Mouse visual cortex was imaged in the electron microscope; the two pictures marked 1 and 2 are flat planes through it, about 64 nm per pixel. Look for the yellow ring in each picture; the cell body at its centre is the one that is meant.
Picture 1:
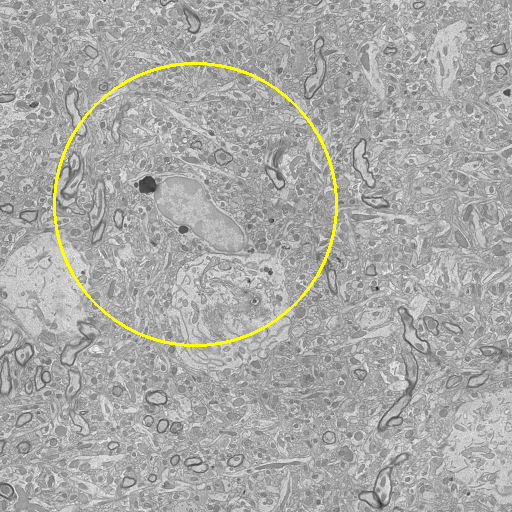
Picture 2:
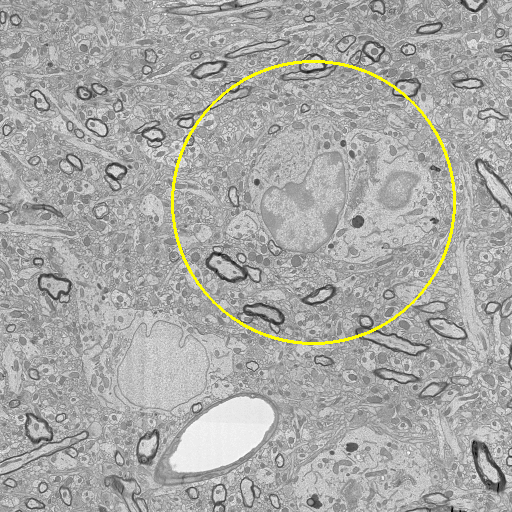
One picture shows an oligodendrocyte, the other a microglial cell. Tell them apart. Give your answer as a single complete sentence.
Picture 1 is of a microglial cell, and picture 2 is of an oligodendrocyte.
